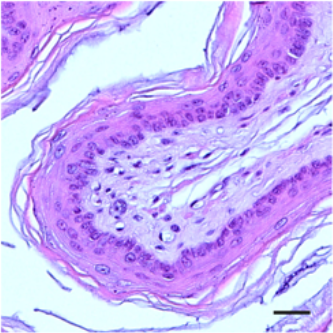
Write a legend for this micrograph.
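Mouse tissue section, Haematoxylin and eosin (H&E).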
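Folded stratified epithelium over pale, loose connective tissue with scattered spindle-shaped nuclei. The outermost layers are pink, thin and flaky, without nuclei.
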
